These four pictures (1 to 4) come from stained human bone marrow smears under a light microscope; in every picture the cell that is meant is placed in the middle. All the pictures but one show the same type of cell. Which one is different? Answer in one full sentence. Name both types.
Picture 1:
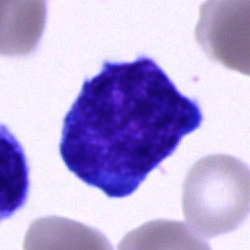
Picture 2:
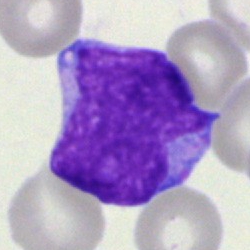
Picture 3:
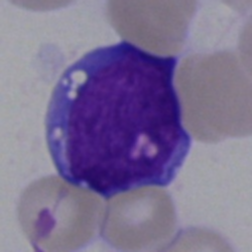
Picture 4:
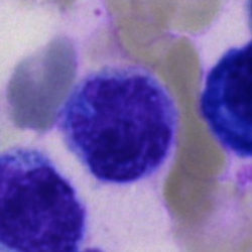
The others show blasts, but picture 4 shows a monocyte.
